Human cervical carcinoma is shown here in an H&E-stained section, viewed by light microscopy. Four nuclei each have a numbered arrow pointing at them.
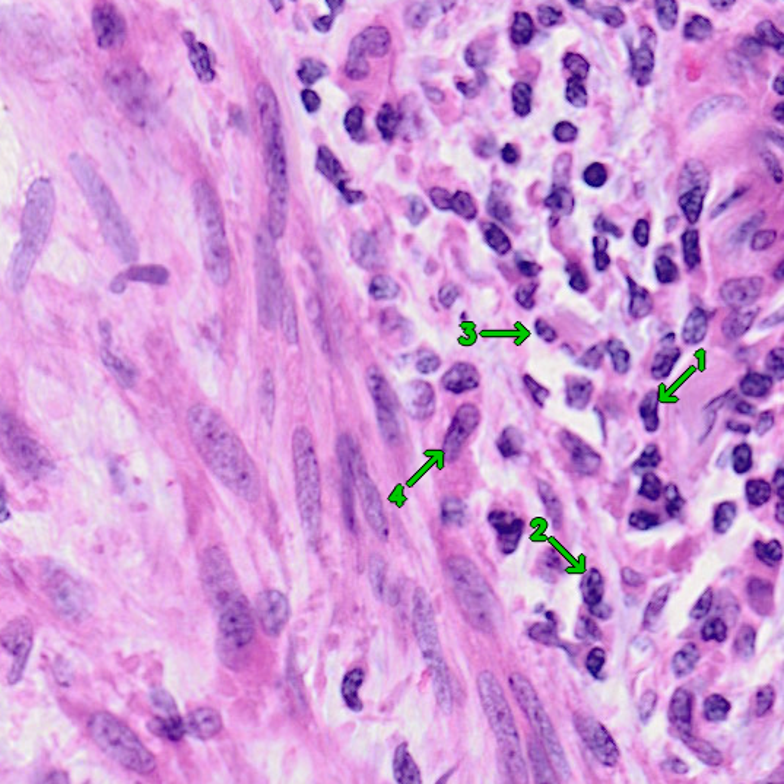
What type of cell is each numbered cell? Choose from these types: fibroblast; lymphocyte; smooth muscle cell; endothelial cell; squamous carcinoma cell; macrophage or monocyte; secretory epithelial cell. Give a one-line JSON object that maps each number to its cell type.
{"1": "lymphocyte", "2": "lymphocyte", "3": "lymphocyte", "4": "macrophage or monocyte"}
